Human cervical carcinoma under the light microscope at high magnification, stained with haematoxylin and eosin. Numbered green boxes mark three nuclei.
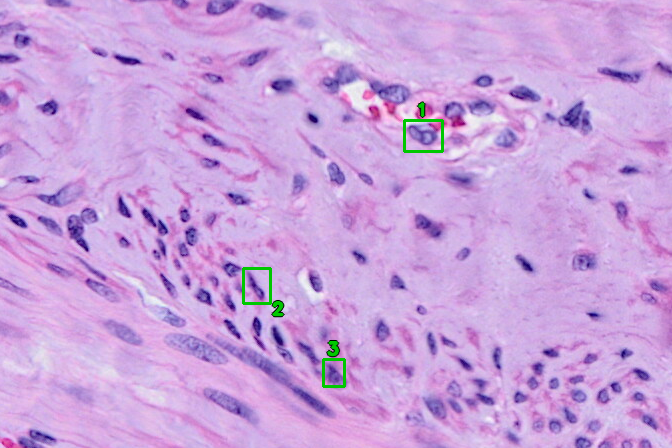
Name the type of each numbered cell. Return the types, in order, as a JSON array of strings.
["endothelial cell", "smooth muscle cell", "smooth muscle cell"]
